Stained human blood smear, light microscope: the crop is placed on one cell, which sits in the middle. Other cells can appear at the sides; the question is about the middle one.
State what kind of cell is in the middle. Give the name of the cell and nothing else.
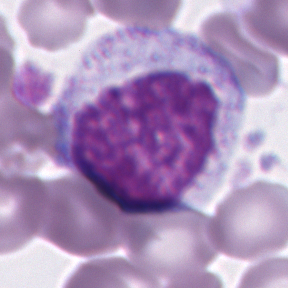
myelocyte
